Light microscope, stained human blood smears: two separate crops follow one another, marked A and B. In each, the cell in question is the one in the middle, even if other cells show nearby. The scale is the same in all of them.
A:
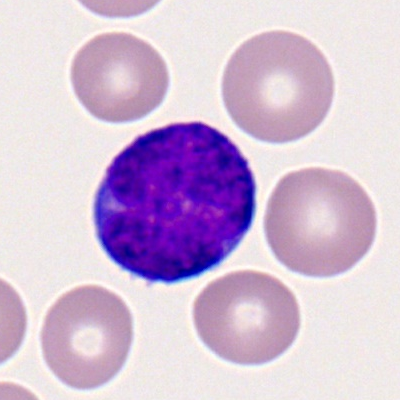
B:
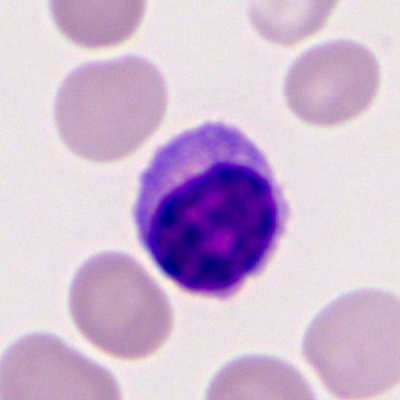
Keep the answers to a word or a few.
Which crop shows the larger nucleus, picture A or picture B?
A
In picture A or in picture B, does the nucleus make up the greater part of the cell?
A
